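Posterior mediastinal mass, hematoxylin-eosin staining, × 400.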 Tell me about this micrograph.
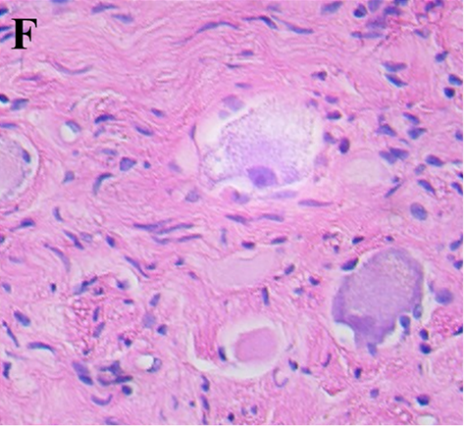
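High-power view of a tumour made of large ganglioid cells set in a stroma of Schwann cells. Some small pale pink rounded profiles also lie in clear spaces near the large cells. No organised layers are present.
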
